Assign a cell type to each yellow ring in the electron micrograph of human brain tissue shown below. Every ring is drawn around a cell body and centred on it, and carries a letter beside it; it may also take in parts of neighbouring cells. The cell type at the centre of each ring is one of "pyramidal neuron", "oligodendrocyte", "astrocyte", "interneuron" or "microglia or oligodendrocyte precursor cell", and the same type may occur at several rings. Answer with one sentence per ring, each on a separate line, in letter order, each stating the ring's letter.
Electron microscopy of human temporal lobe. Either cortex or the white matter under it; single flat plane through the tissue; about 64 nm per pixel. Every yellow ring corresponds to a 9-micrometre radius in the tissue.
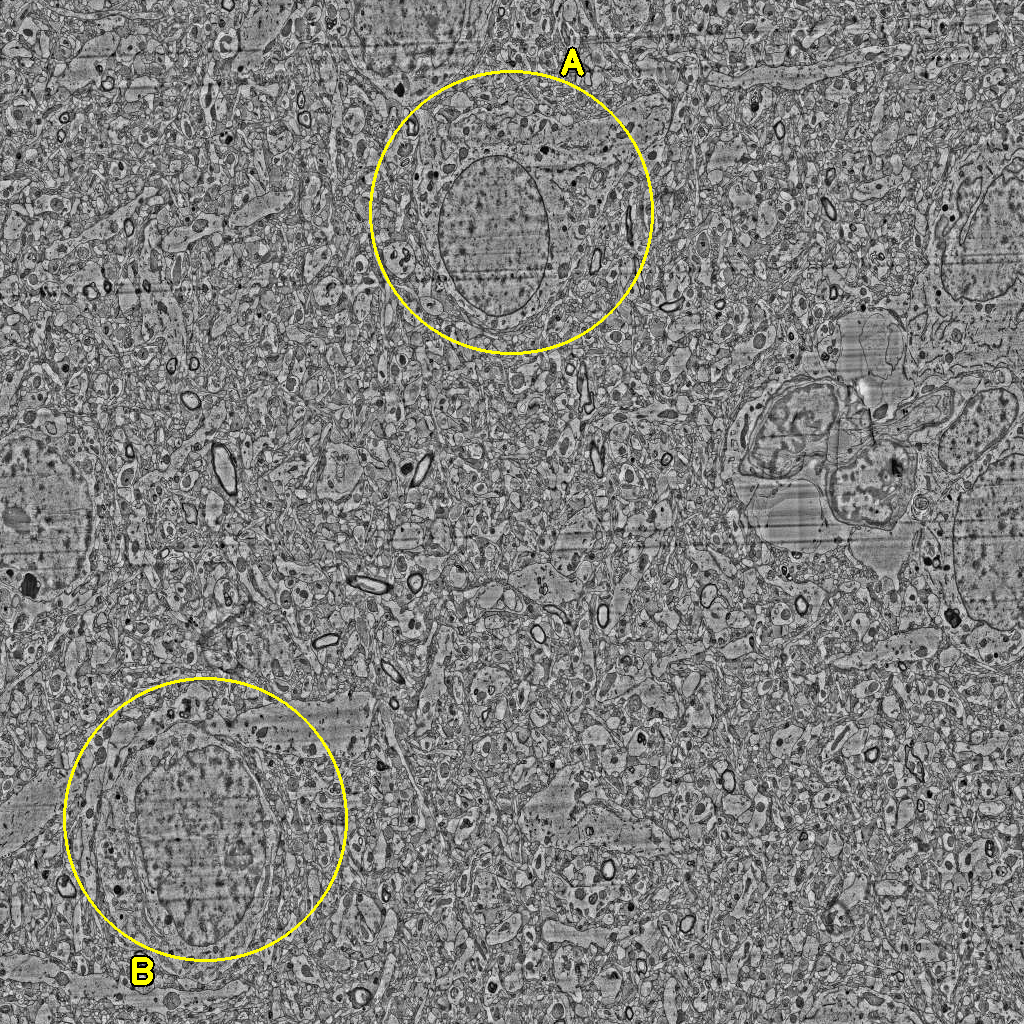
The cell at ring A's centre is a pyramidal neuron.
The cell at ring B's centre is an interneuron.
